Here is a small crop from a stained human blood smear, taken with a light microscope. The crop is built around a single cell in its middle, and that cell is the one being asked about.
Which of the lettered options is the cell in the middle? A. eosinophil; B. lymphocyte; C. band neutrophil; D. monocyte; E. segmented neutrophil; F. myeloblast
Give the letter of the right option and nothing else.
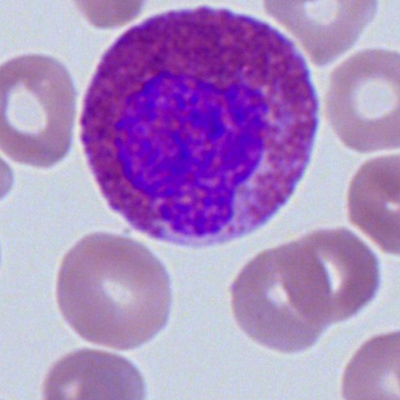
A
